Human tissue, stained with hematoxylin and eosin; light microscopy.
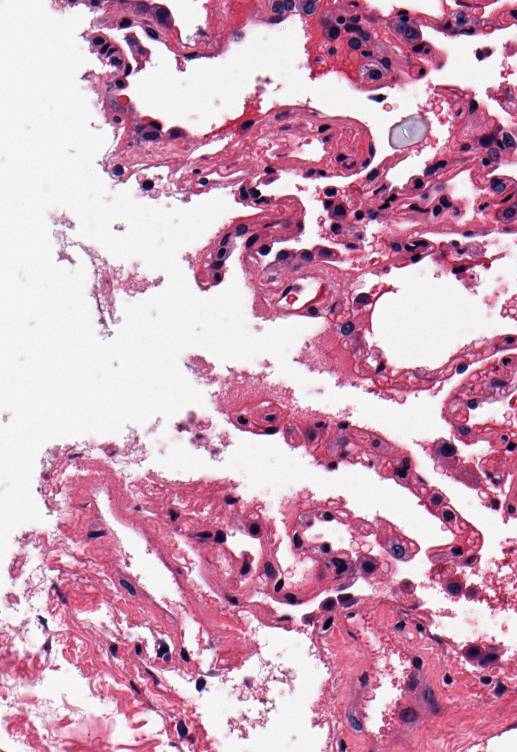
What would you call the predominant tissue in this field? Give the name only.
alveolus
